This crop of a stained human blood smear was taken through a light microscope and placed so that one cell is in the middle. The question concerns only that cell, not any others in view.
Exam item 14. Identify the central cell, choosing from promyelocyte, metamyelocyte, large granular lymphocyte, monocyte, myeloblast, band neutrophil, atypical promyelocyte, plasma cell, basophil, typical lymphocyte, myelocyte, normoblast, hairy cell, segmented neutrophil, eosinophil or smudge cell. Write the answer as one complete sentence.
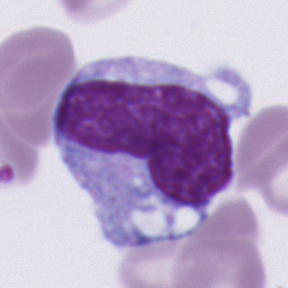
Centred in the crop is a monocyte.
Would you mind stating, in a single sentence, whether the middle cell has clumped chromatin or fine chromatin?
The nuclear chromatin is fine, showing no coarse aggregates.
